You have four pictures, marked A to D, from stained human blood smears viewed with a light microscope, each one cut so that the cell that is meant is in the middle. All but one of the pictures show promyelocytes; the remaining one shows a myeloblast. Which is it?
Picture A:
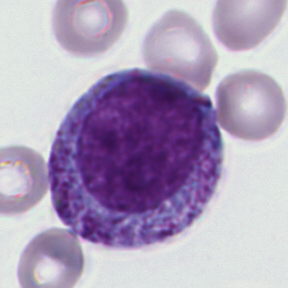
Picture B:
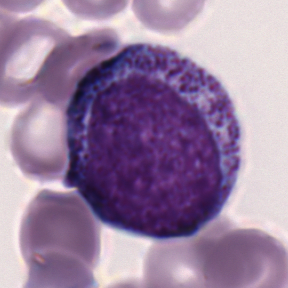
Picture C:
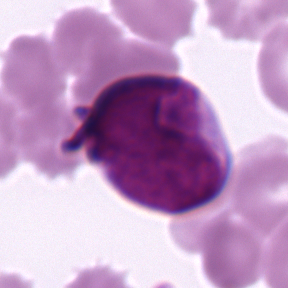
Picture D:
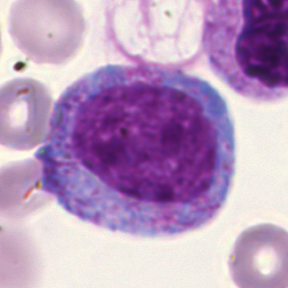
C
